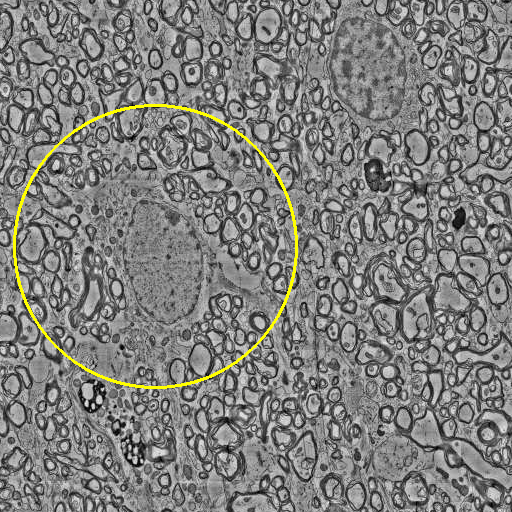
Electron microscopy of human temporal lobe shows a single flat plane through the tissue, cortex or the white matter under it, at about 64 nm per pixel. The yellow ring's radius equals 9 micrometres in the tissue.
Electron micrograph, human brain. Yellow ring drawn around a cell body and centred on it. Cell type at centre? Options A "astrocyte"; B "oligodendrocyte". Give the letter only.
A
